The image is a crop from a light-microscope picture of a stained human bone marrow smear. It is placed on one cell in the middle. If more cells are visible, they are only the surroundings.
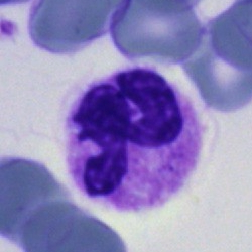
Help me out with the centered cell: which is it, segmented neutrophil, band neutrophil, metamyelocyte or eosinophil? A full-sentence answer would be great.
Occupying the centre of the crop is a segmented neutrophil.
